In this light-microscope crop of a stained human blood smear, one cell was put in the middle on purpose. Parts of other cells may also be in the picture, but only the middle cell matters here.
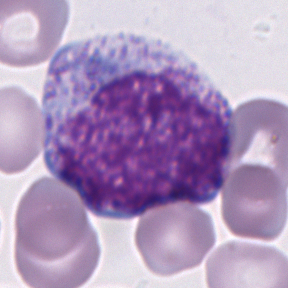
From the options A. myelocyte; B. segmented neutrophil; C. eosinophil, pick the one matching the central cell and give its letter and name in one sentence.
At the centre of the crop lies a myelocyte, which makes option A correct.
